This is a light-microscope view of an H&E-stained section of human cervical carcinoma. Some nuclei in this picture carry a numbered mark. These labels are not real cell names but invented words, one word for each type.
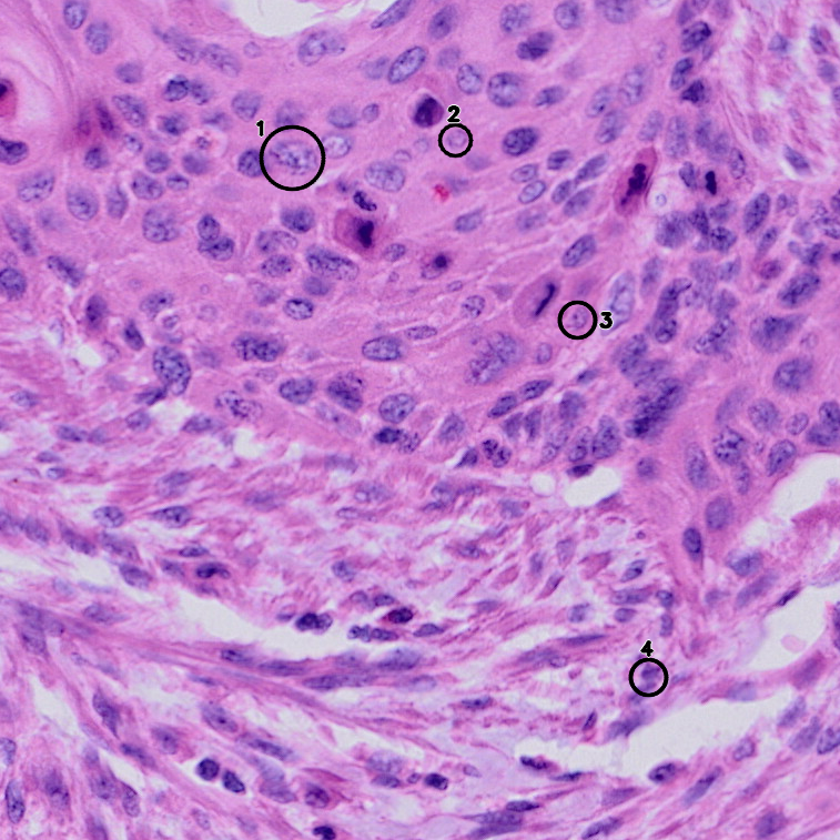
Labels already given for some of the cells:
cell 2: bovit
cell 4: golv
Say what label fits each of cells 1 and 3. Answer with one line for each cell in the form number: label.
1: bovit
3: bovit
